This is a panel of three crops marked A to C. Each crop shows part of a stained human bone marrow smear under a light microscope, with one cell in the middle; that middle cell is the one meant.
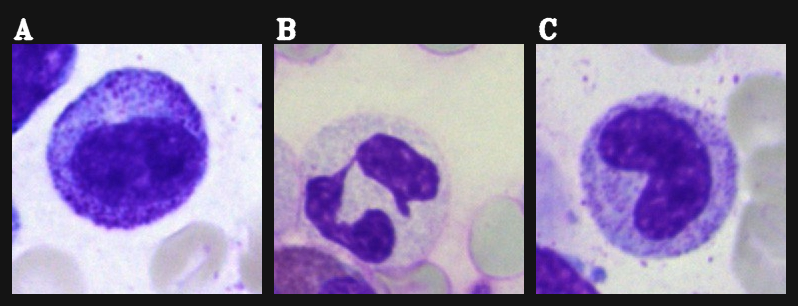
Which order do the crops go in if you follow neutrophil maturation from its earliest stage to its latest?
A, C, B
